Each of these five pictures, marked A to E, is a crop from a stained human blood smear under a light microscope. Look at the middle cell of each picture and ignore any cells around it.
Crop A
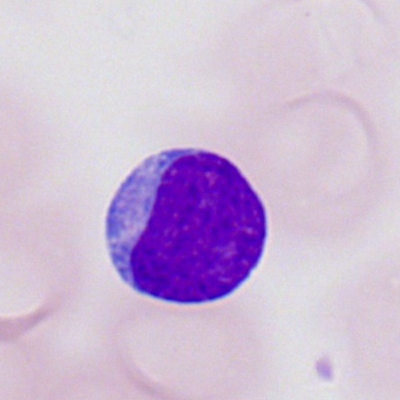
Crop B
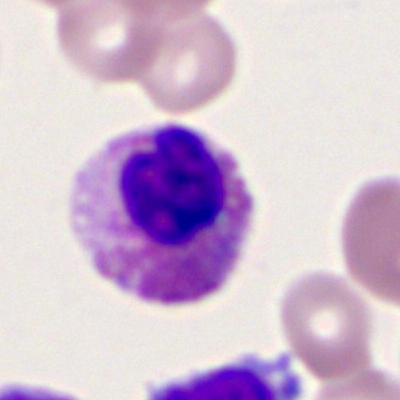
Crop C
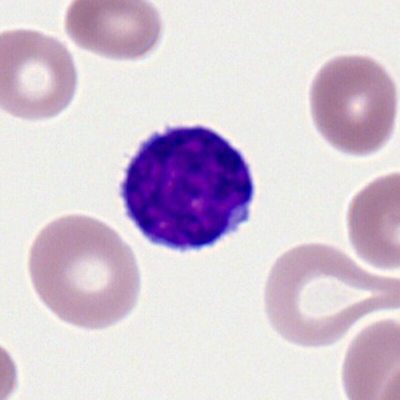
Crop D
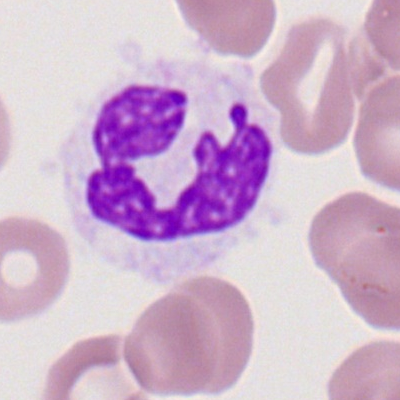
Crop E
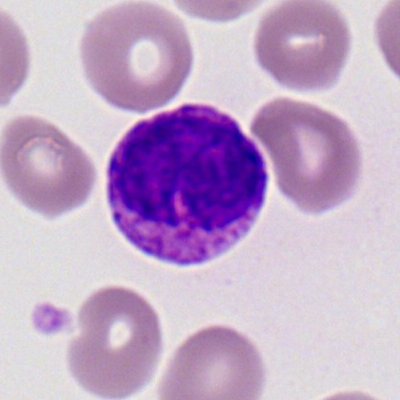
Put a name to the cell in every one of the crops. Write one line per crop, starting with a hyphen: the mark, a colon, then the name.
- A: blast
- B: eosinophil
- C: lymphocyte
- D: neutrophil
- E: basophil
